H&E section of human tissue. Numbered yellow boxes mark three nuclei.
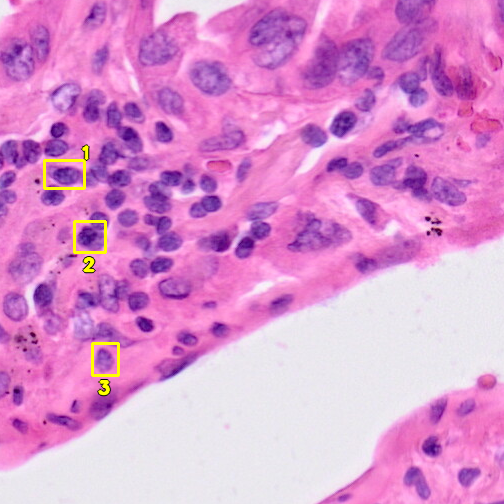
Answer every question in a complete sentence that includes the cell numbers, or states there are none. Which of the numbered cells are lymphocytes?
Identification: the cells with numbers 1 and 2 are lymphocytes.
